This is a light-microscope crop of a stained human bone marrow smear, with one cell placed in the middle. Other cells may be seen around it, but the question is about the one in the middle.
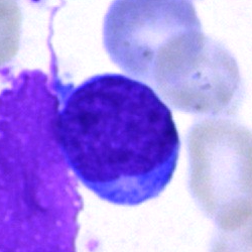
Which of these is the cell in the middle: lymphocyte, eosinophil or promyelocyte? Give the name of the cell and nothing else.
lymphocyte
